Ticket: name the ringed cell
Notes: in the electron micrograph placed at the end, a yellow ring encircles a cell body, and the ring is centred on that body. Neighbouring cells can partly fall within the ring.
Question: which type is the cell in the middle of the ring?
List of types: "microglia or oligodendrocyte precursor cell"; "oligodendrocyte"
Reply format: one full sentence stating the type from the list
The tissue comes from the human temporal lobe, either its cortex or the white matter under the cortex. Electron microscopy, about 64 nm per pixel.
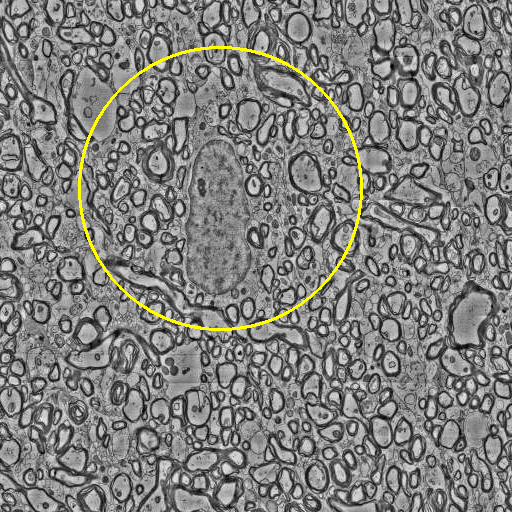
The cell sitting at the centre of the yellow ring is an oligodendrocyte.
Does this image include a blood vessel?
No.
